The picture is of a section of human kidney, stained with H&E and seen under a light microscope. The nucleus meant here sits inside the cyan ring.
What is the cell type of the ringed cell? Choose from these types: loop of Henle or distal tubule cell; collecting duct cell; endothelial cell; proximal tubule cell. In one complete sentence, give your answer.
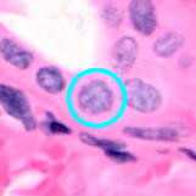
At the level of cell identity, the ringed cell is a collecting duct cell.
